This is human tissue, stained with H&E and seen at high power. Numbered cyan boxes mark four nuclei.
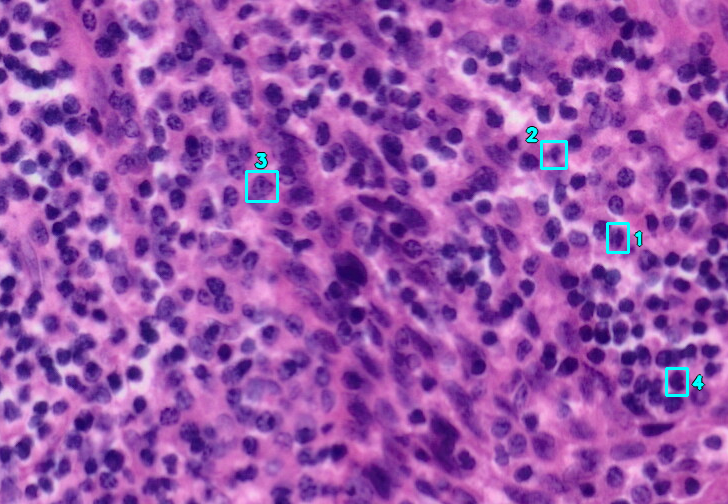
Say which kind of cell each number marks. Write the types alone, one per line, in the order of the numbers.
plasma cell
squamous epithelial cell
plasma cell
plasma cell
